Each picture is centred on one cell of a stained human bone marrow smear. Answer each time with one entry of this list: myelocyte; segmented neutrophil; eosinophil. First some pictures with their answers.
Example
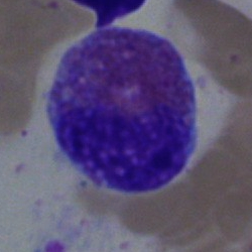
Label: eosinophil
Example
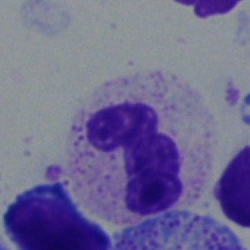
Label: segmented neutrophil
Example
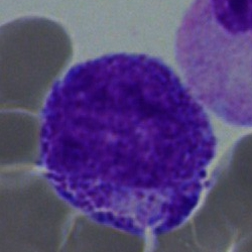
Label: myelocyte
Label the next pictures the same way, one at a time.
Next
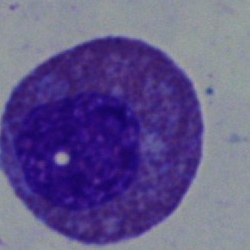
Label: eosinophil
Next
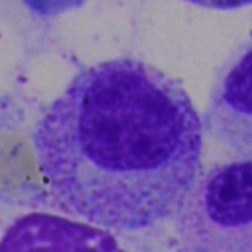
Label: myelocyte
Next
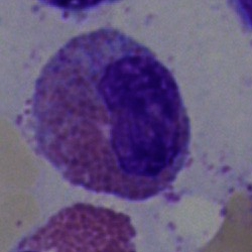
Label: eosinophil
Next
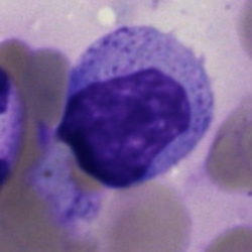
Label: myelocyte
